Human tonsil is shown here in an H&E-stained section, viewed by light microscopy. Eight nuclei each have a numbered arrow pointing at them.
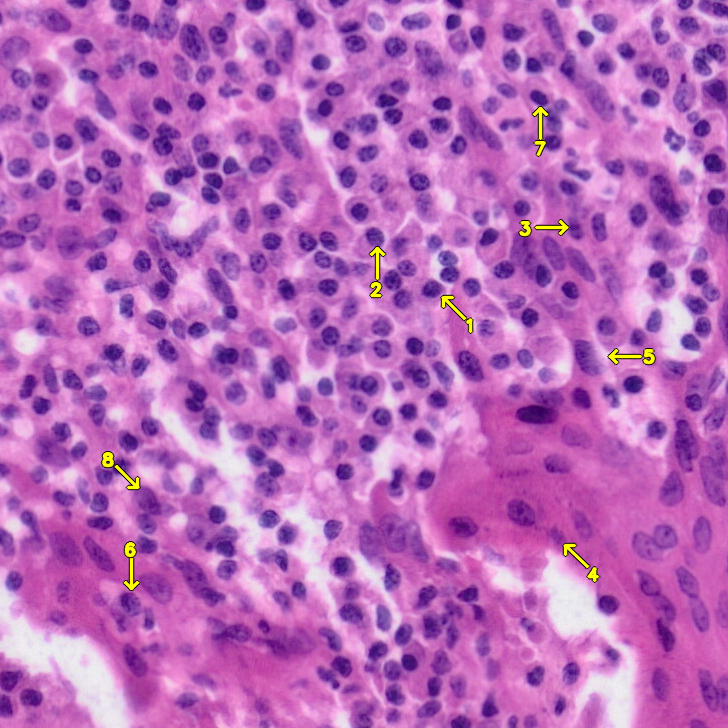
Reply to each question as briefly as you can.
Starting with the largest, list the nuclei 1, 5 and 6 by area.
5, 6, 1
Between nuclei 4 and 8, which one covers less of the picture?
4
